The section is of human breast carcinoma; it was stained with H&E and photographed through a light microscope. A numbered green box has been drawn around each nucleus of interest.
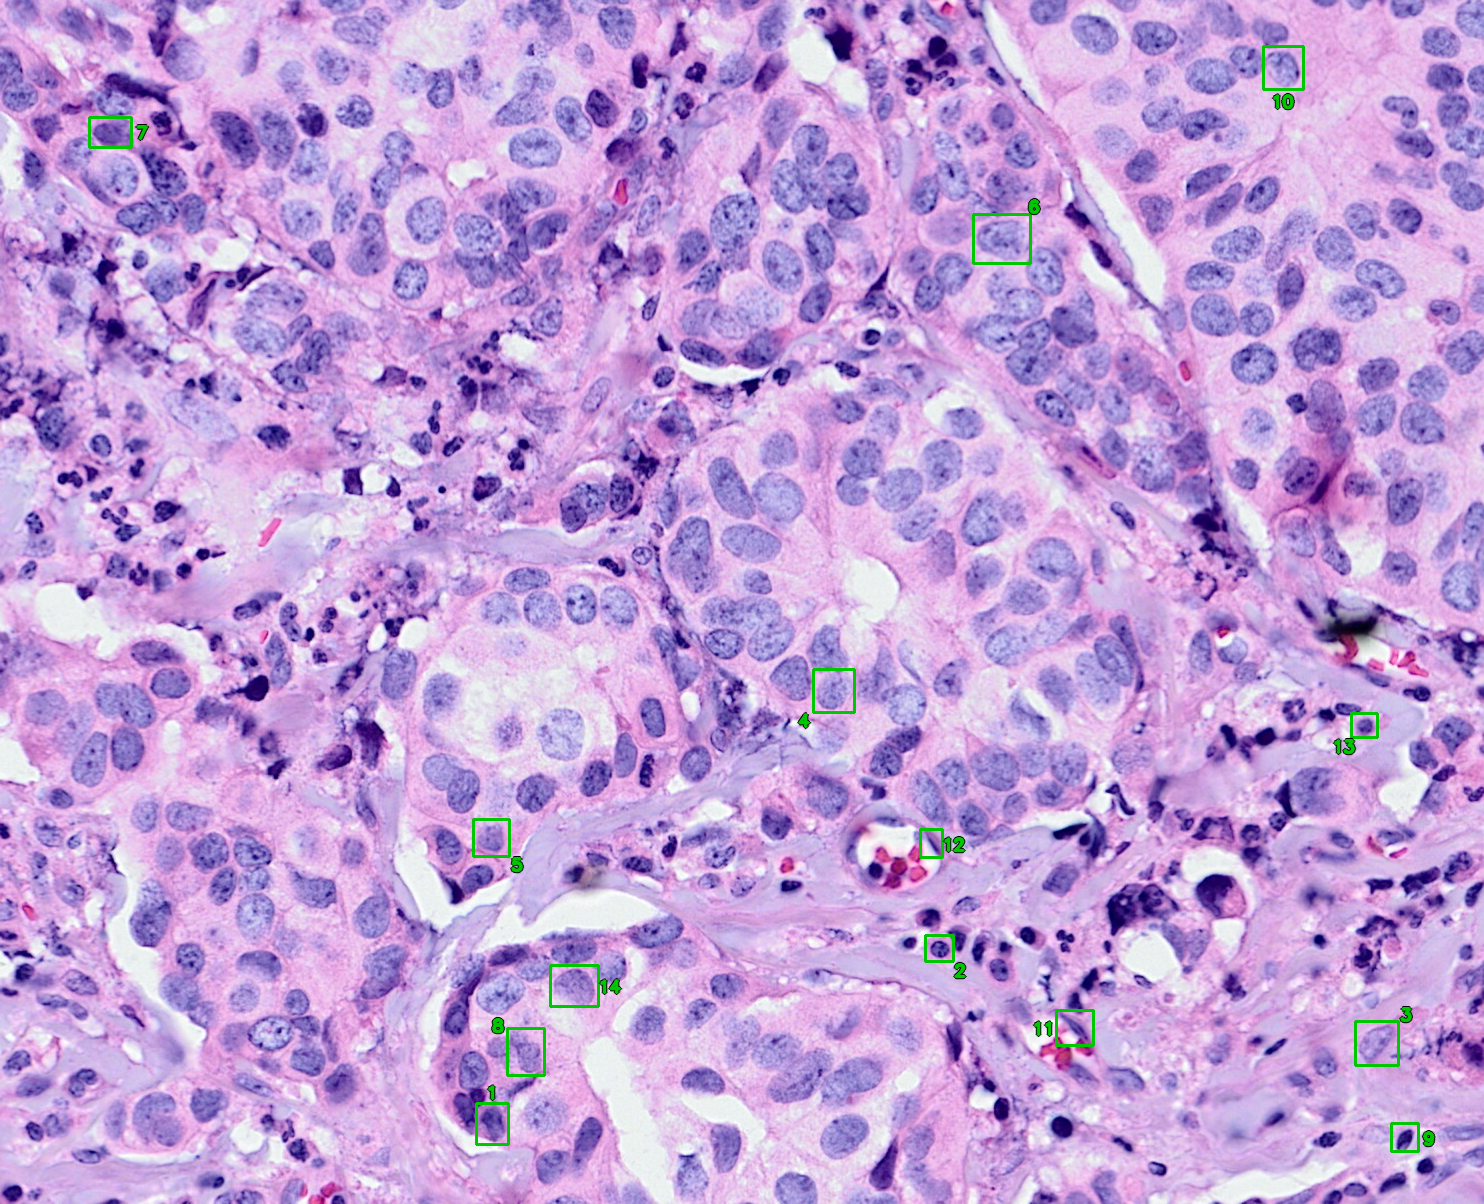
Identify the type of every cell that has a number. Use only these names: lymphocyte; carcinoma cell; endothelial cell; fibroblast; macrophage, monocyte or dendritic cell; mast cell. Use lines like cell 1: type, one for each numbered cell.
cell 1: carcinoma cell
cell 2: mast cell
cell 3: fibroblast
cell 4: carcinoma cell
cell 5: carcinoma cell
cell 6: carcinoma cell
cell 7: carcinoma cell
cell 8: carcinoma cell
cell 9: lymphocyte
cell 10: carcinoma cell
cell 11: endothelial cell
cell 12: endothelial cell
cell 13: mast cell
cell 14: carcinoma cell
